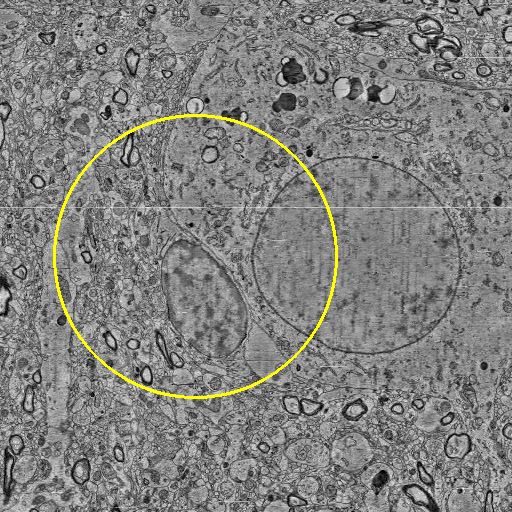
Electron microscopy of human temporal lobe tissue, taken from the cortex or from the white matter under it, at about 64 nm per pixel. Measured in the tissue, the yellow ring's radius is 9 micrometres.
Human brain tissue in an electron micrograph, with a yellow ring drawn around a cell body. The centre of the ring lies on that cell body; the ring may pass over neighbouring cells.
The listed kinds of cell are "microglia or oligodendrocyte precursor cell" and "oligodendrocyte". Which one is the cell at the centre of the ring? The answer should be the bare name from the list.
microglia or oligodendrocyte precursor cell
